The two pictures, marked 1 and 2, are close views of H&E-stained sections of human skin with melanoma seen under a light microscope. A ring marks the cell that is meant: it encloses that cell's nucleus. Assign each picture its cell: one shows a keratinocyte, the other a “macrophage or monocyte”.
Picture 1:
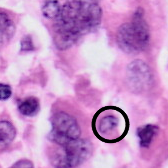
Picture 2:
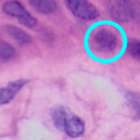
1: macrophage or monocyte
2: keratinocyte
